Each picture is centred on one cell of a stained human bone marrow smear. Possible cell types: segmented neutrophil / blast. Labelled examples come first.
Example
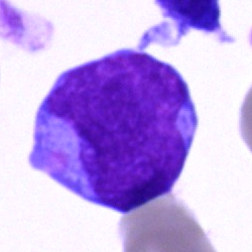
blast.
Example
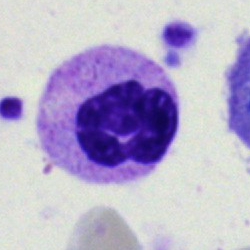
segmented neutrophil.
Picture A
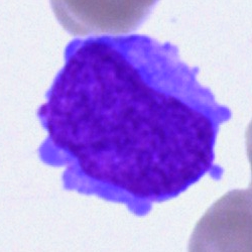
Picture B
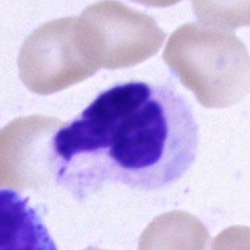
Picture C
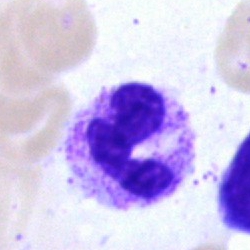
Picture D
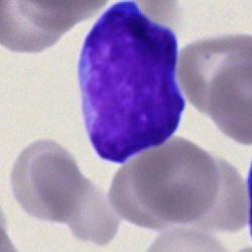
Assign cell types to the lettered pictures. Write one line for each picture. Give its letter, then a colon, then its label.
A: blast.
B: segmented neutrophil.
C: segmented neutrophil.
D: blast.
